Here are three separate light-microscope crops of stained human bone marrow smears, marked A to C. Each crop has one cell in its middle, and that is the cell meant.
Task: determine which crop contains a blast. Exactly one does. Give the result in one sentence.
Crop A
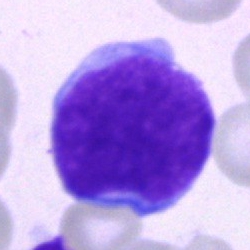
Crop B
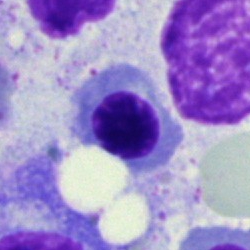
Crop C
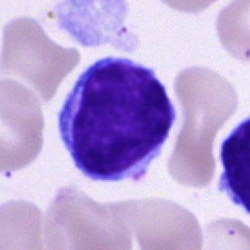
That would be crop A; it shows a blast.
